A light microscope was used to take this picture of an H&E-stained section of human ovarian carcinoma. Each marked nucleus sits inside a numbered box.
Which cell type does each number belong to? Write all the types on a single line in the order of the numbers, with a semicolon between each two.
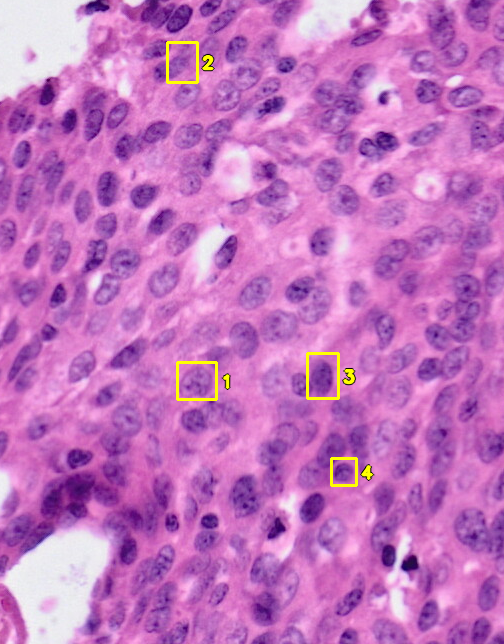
carcinoma cell; carcinoma cell; carcinoma cell; macrophage or monocyte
